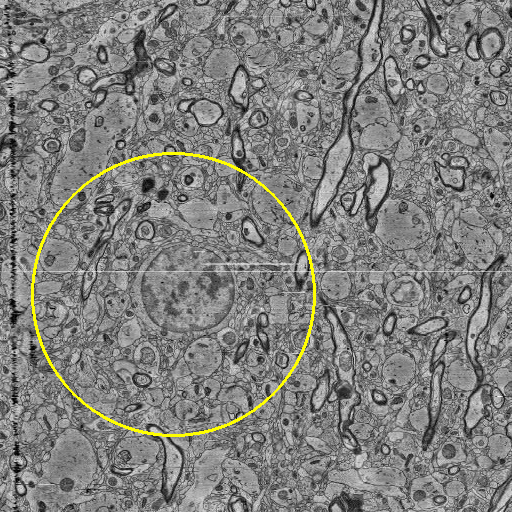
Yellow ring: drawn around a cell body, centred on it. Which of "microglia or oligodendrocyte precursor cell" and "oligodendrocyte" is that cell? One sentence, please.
That cell body is from an oligodendrocyte.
